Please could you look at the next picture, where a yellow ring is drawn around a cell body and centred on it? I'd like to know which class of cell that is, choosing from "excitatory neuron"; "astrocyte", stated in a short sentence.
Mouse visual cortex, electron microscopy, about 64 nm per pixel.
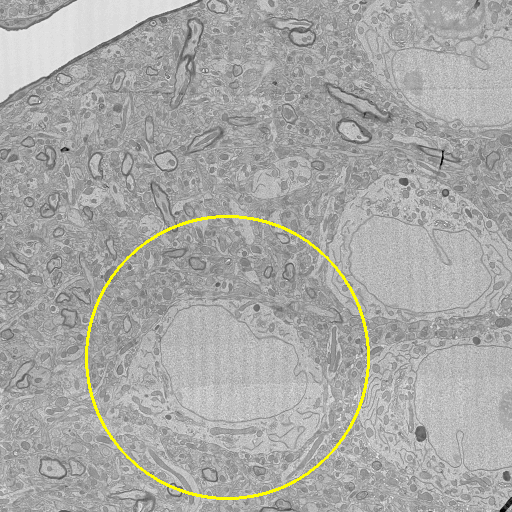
The ring's centre lies on an excitatory neuron.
